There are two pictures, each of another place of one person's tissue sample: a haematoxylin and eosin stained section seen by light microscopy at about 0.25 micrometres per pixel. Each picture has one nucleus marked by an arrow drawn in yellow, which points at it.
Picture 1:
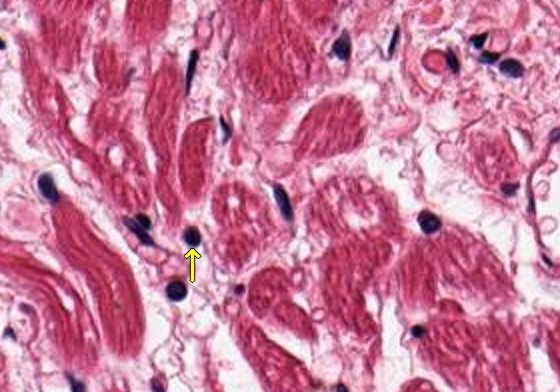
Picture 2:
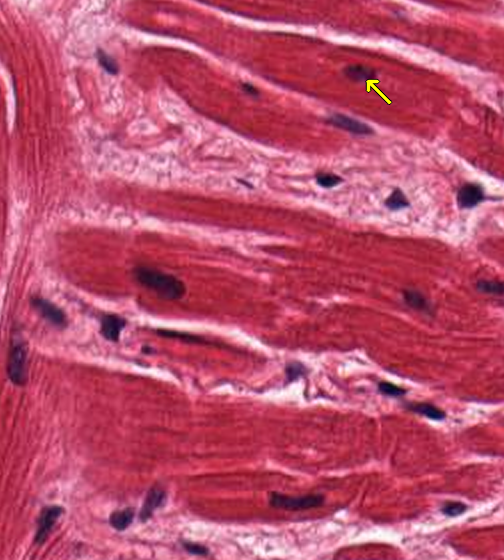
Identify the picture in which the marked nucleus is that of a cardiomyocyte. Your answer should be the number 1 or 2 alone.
2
